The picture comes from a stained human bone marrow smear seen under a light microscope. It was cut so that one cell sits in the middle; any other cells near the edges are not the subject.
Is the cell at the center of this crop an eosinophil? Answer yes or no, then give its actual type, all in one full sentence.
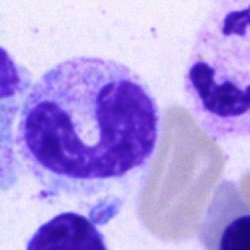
No, the cell in the middle of the crop counts as a band neutrophil and not as an eosinophil.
